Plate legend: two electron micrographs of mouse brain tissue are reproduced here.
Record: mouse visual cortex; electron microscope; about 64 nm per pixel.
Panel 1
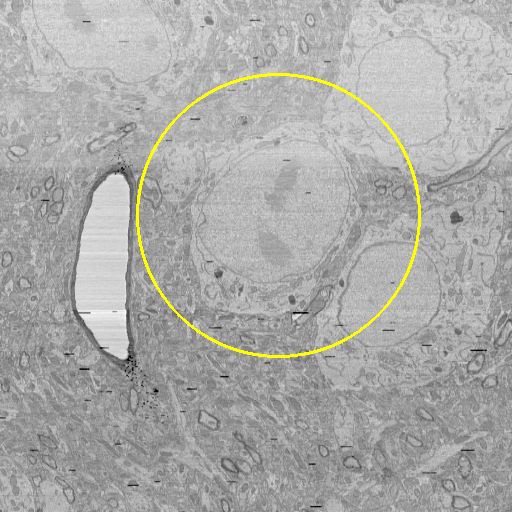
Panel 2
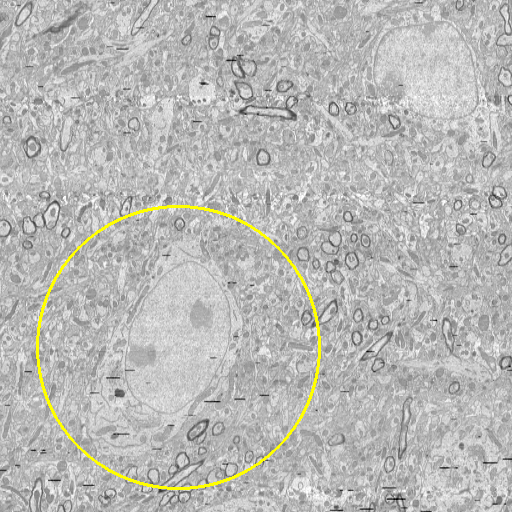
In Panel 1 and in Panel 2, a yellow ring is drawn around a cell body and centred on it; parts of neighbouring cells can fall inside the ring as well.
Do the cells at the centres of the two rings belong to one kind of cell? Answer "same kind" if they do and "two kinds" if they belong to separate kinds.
same kind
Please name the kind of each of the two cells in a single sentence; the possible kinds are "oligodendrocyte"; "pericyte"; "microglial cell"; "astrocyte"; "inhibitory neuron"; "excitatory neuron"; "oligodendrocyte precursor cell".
Both rings mark an excitatory neuron, one in each picture.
